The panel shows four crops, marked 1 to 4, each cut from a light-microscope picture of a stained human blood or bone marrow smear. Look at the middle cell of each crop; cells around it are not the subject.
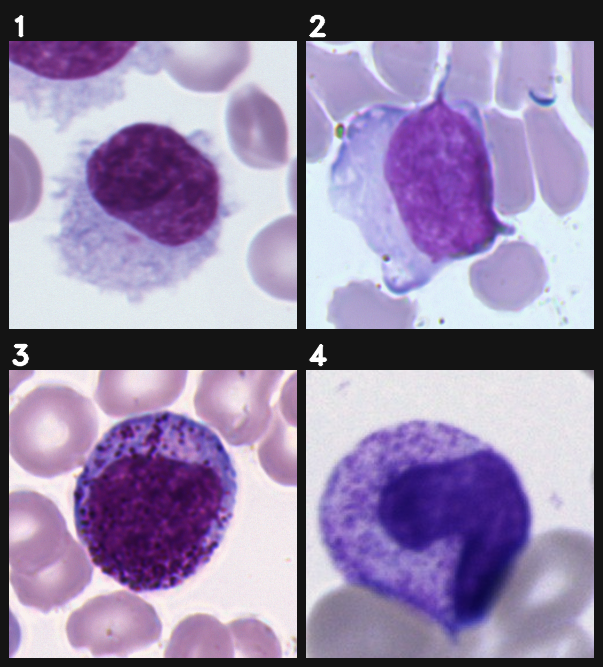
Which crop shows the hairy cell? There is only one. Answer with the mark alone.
1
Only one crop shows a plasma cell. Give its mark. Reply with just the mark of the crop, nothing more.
2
